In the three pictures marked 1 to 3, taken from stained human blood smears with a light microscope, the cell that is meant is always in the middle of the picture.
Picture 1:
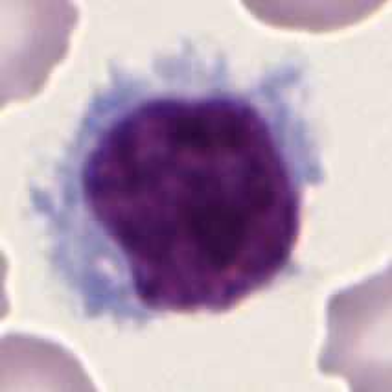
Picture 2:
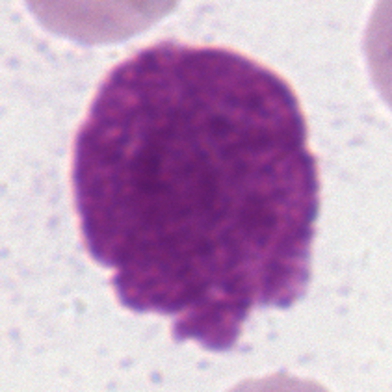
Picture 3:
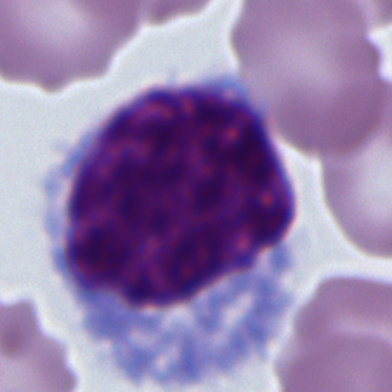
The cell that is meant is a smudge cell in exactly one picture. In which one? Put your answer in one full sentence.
The picture with the smudge cell is 2.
